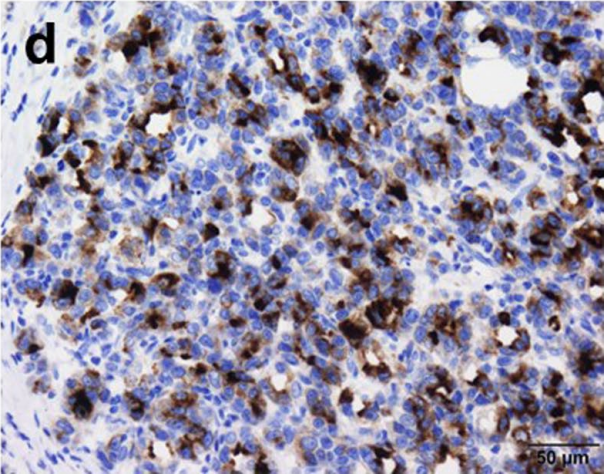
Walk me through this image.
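A solid nest of small tumor cells fills the field, bordered at the left edge by a thin band of pale stroma. The cells are crowded, with round to oval blue nuclei that are large relative to the scant cytoplasm. Many cells have dense, granular brown cytoplasm, which often clusters around small clear spaces that resemble tiny lumina. Stained and unstained cells are intermingled throughout the nest.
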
